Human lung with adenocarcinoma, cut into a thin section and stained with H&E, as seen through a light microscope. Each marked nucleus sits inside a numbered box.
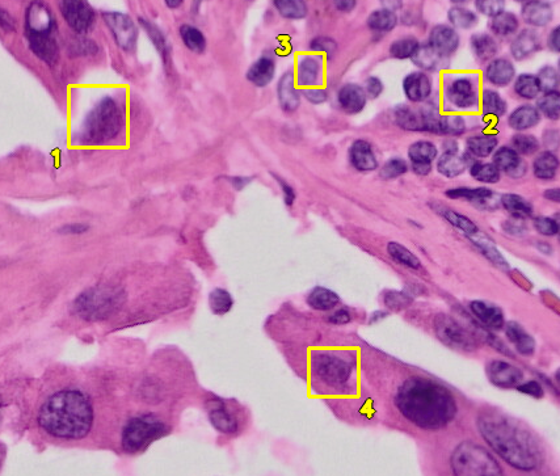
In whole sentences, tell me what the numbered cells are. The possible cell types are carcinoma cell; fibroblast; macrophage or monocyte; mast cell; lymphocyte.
Cells 1 and 4 are carcinoma cells. Cells 2 and 3 are lymphocytes.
